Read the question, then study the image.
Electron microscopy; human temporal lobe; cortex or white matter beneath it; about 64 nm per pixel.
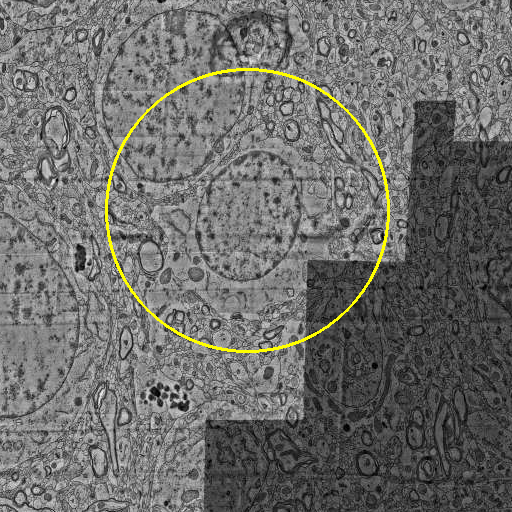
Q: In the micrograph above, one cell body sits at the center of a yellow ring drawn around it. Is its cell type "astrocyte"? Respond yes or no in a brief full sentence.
Yes, its cell type is that one.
